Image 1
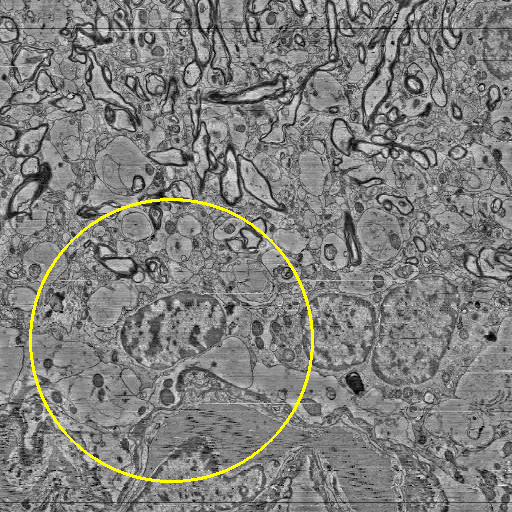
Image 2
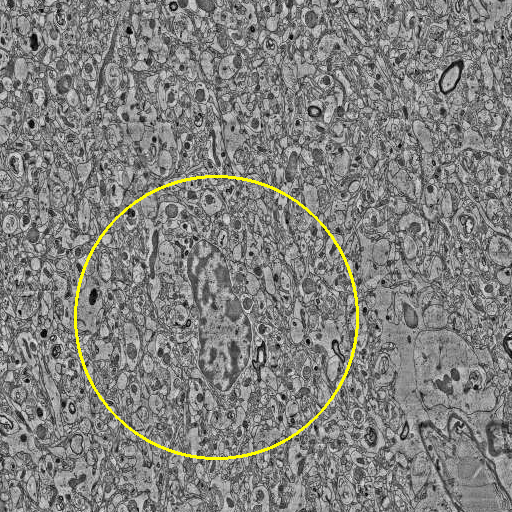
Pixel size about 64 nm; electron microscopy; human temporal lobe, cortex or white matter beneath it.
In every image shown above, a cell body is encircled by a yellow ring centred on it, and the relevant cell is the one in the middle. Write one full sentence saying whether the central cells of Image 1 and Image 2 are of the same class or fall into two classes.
The cell at the ring's centre in Image 1 and its counterpart in Image 2 are of the same class.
